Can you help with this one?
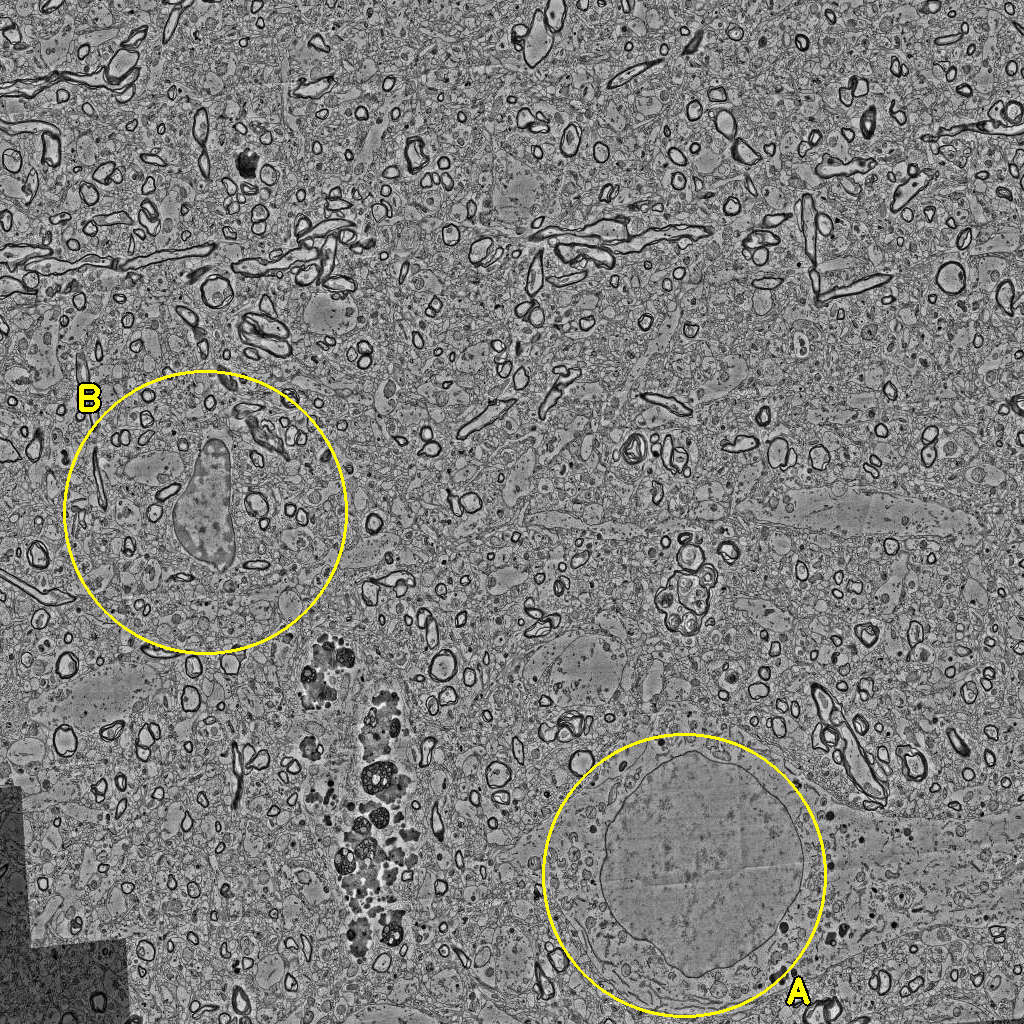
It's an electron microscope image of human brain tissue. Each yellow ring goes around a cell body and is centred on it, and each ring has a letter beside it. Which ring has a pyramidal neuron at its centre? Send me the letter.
A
